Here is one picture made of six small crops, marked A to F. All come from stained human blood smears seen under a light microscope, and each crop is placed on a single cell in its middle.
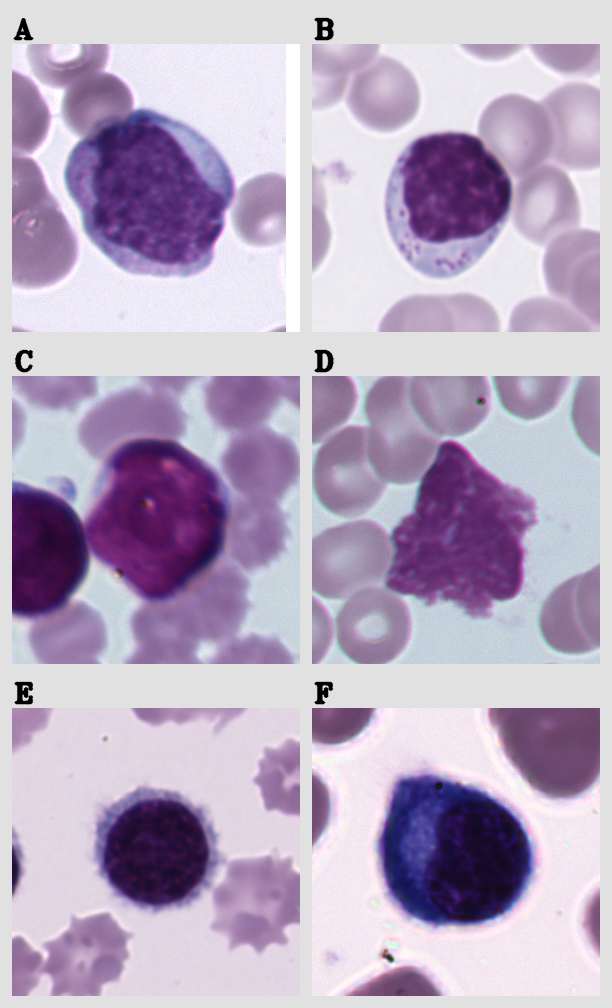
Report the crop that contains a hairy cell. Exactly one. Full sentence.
In the set of crops, crop E is the one that contains a hairy cell.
